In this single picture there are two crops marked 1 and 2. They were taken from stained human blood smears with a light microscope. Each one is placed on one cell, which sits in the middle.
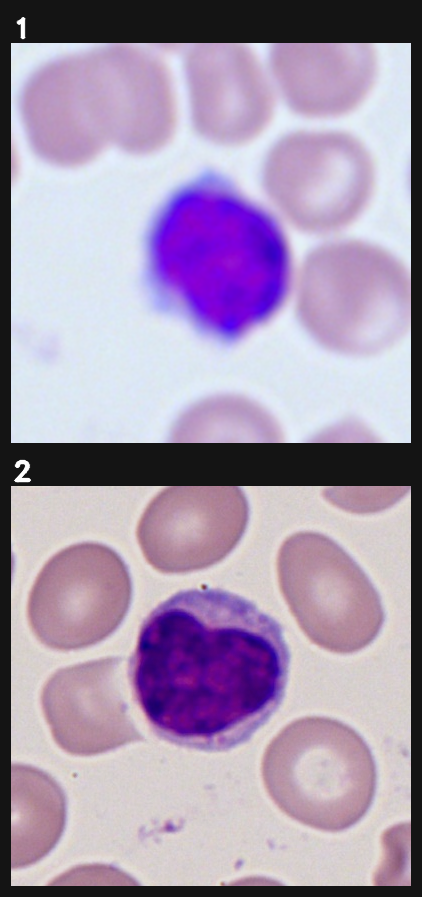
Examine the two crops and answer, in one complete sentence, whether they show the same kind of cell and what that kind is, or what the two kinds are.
Yes, put down lymphocytes for both crops.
